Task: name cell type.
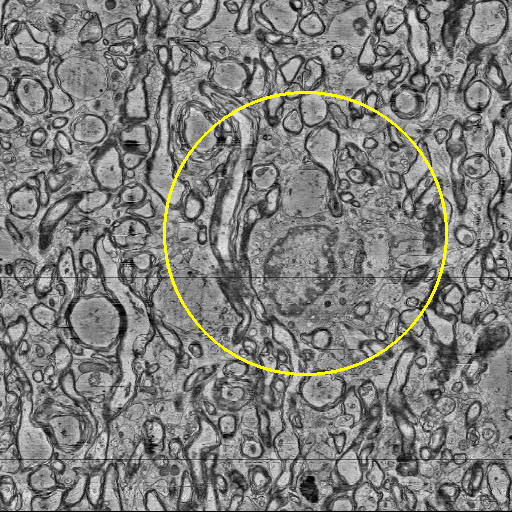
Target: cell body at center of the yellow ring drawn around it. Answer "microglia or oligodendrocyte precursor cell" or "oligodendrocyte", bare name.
oligodendrocyte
